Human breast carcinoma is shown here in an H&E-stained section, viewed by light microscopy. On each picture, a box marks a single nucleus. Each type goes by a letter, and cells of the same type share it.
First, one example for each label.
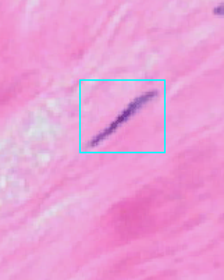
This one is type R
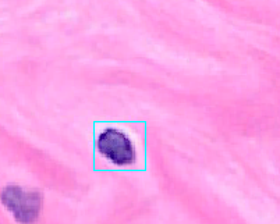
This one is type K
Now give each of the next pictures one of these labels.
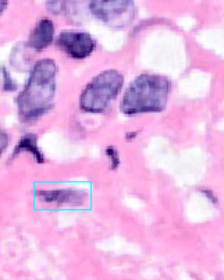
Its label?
type R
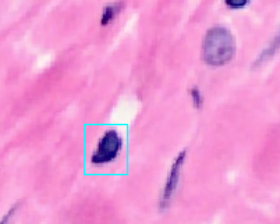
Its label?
type K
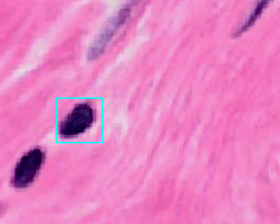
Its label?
type K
